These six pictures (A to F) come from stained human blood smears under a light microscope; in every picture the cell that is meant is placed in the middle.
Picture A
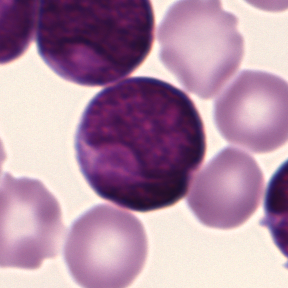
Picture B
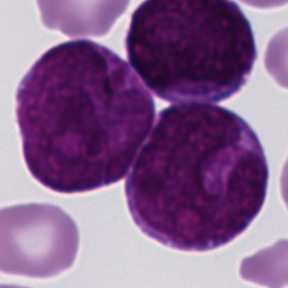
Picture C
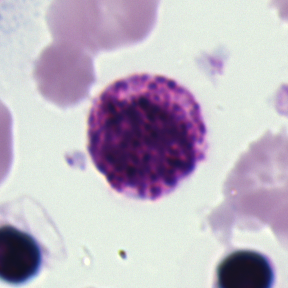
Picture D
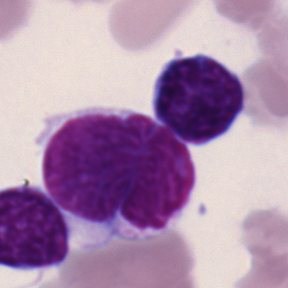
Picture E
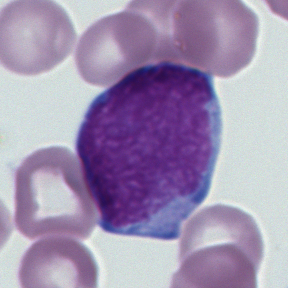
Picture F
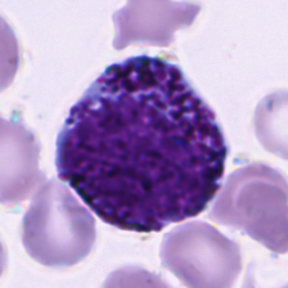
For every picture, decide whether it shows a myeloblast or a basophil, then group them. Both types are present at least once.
A: myeloblast
B: myeloblast
C: basophil
D: myeloblast
E: myeloblast
F: basophil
